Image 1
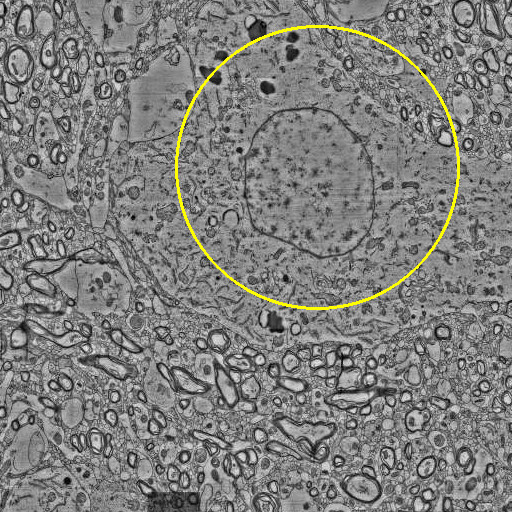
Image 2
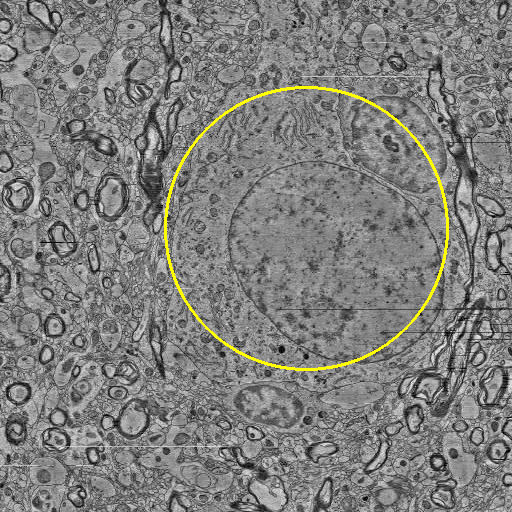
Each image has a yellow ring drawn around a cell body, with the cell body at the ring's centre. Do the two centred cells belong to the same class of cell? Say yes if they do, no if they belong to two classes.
yes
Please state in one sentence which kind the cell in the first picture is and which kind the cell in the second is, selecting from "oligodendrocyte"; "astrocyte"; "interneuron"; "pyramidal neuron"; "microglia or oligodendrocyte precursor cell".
The ring centre holds a pyramidal neuron in each of the two pictures.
